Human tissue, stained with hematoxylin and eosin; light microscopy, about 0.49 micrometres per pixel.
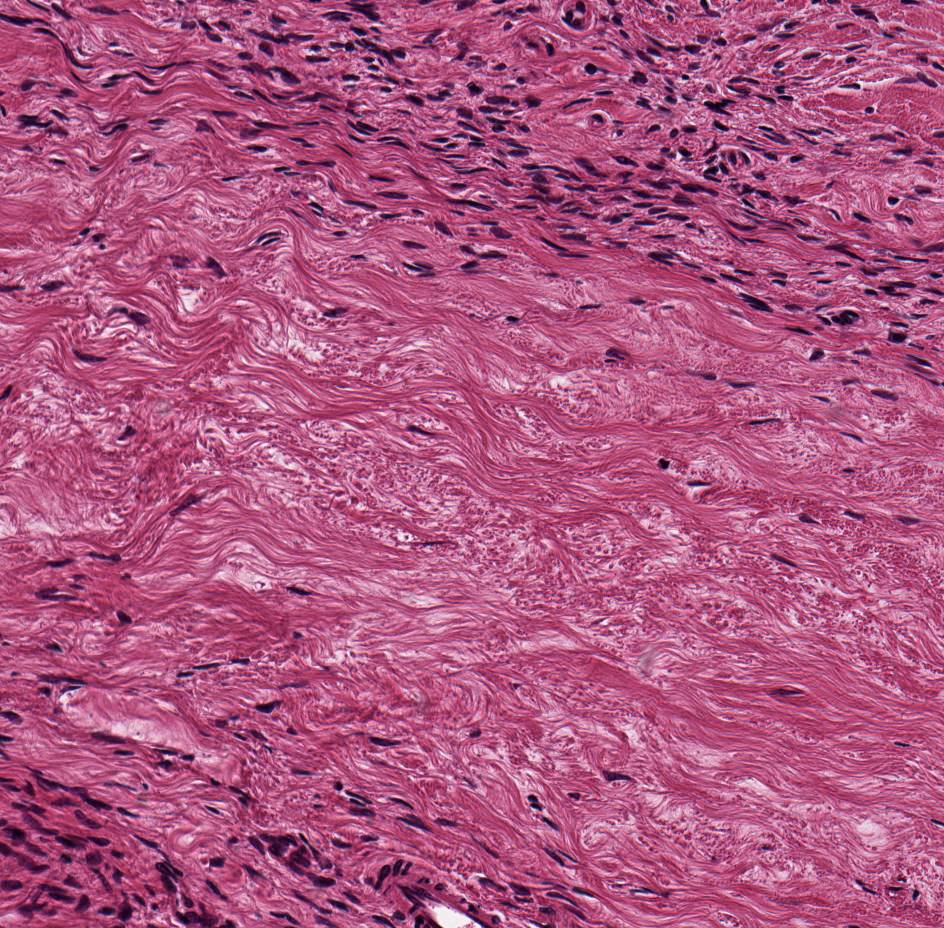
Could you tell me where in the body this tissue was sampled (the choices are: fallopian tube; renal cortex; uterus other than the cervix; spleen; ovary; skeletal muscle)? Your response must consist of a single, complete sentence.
A sample from the ovary makes up this section.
